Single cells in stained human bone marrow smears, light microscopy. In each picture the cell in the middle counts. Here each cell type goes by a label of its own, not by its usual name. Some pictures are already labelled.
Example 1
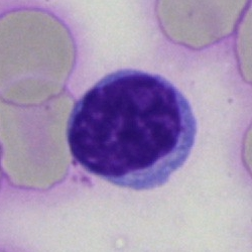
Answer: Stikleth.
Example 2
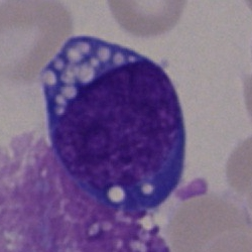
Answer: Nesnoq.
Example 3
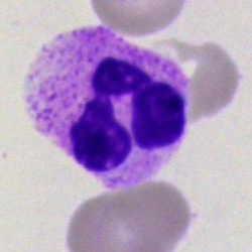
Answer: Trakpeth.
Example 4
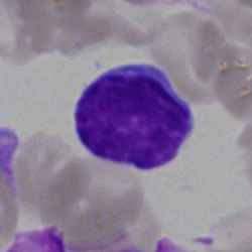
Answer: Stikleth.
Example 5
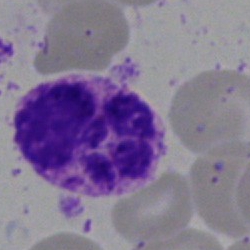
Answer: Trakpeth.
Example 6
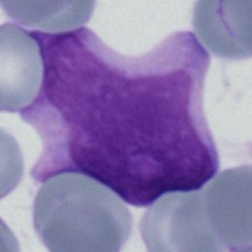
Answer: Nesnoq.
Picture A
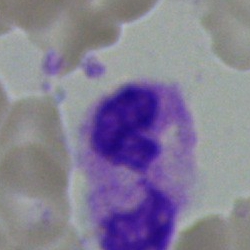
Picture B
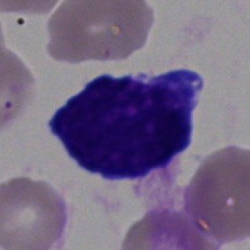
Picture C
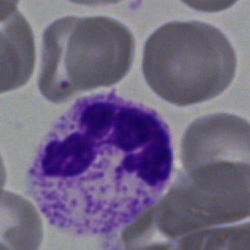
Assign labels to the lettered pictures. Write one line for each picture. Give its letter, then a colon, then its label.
A: Trakpeth.
B: Nesnoq.
C: Trakpeth.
